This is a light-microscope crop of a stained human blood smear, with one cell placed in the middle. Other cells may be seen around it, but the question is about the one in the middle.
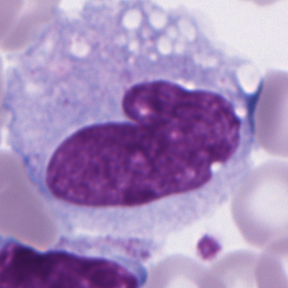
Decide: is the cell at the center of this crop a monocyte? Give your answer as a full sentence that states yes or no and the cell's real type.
Yes, the cell found in the center of the crop is a monocyte.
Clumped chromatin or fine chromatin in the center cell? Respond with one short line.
The nuclear chromatin is fine, showing no coarse aggregates.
